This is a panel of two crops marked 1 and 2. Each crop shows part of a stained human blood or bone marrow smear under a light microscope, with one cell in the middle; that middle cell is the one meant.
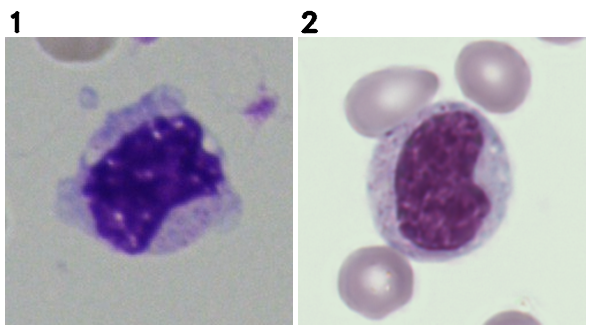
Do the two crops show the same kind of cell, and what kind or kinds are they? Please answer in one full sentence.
Yes, the same answer goes for both crops, namely metamyelocytes.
